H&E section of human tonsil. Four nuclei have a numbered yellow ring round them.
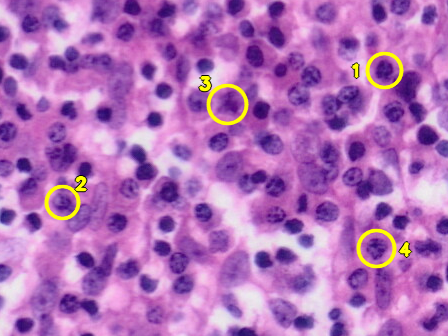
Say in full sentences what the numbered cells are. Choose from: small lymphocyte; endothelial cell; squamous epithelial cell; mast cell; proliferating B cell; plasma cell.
Cells 1, 2 and 4 are plasma cells. Cell 3 is a squamous epithelial cell.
